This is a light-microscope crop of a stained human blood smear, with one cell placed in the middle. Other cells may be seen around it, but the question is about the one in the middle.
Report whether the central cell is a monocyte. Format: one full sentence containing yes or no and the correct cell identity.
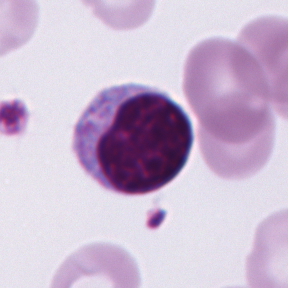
No, mark the middle cell as a large granular lymphocyte, not a monocyte.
